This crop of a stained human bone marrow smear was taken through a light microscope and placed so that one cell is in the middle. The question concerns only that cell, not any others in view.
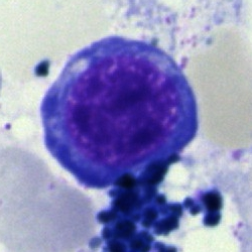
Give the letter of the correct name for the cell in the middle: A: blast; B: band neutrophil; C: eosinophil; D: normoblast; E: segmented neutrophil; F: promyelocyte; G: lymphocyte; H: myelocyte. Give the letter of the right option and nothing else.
D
